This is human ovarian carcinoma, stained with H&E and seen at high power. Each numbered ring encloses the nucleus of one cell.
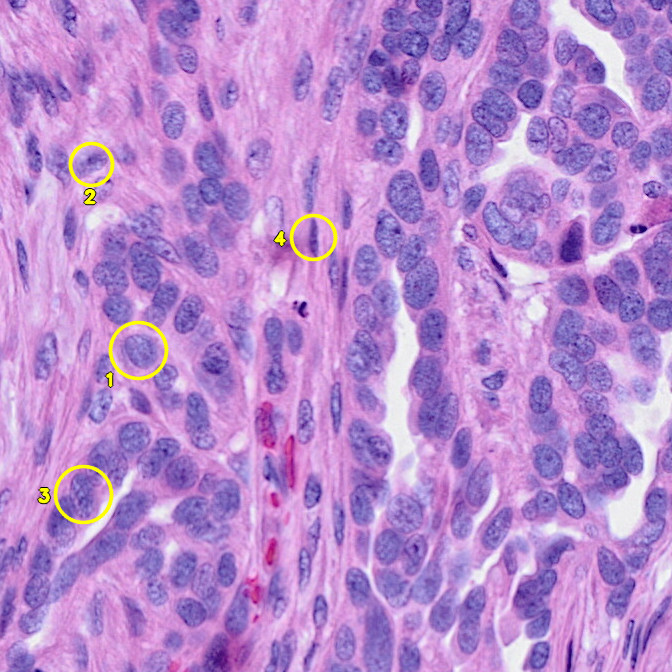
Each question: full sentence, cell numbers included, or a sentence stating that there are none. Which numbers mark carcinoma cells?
The identity of cells 1 and 3: they are carcinoma cells.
